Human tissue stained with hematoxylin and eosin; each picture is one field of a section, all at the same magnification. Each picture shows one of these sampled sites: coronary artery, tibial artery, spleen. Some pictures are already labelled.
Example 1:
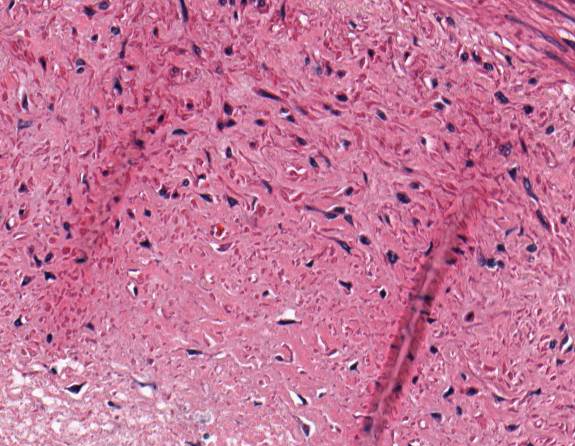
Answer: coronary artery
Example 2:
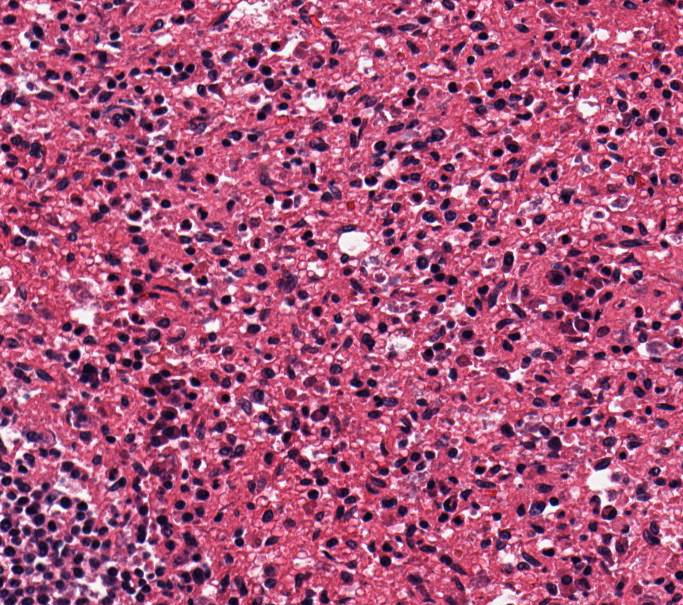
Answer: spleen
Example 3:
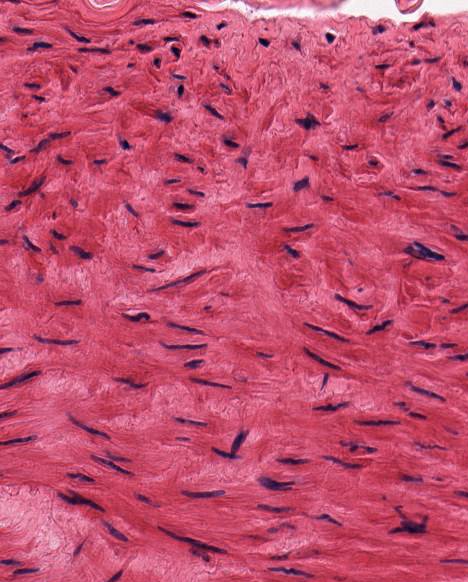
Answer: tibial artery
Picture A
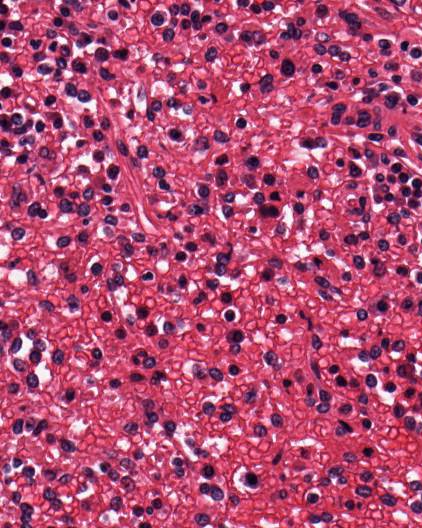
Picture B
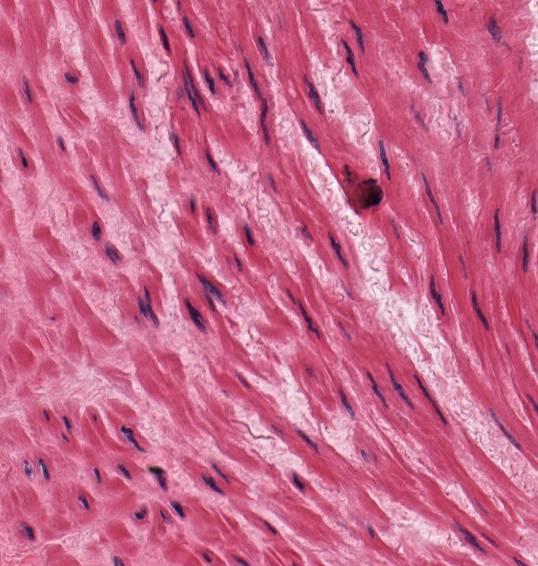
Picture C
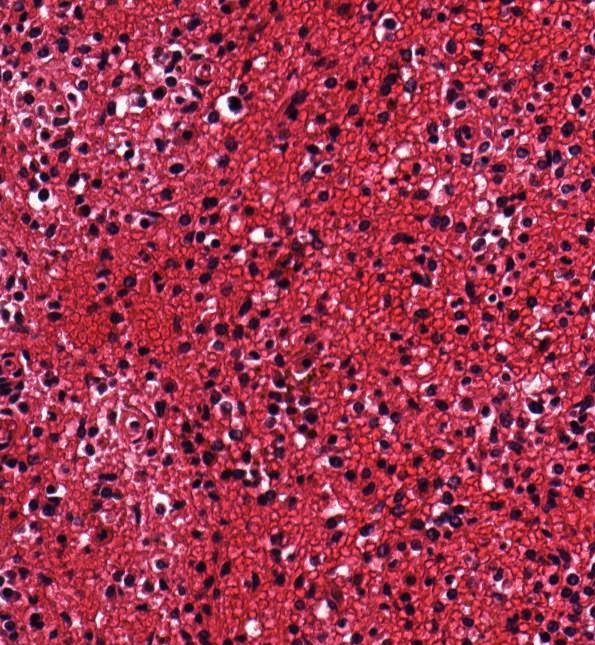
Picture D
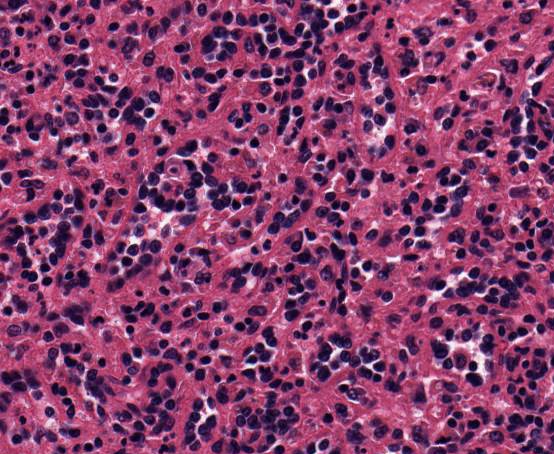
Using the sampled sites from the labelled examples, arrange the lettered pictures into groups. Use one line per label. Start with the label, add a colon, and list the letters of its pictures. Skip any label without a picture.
tibial artery: B
spleen: A, C, D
